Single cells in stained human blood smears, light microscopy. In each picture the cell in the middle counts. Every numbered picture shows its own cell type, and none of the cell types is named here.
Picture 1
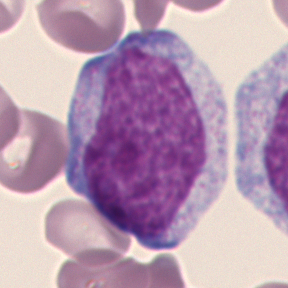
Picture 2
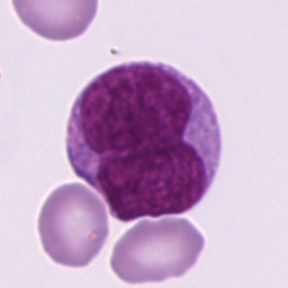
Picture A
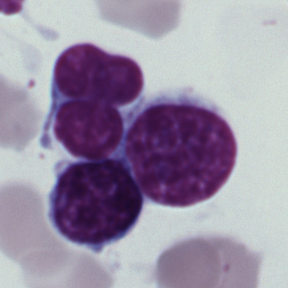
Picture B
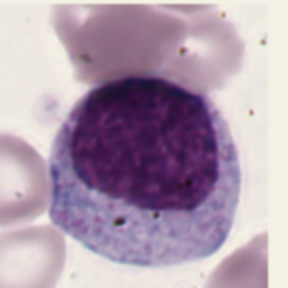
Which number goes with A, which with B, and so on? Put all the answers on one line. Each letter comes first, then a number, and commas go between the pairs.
A 2, B 1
